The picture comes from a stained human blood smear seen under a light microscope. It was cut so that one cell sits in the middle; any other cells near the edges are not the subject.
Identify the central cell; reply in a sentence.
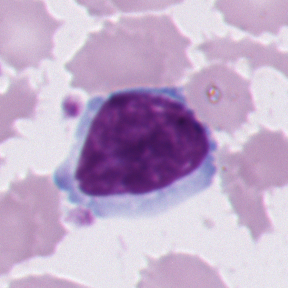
The cell of interest, in the center, is a typical lymphocyte.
